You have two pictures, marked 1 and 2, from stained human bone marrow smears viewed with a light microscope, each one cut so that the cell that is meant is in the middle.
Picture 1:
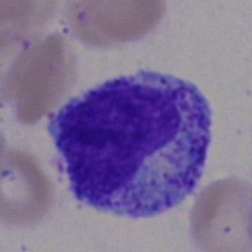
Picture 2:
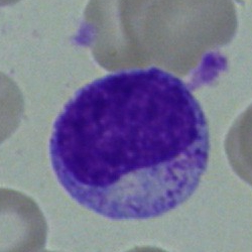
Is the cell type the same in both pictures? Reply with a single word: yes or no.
yes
